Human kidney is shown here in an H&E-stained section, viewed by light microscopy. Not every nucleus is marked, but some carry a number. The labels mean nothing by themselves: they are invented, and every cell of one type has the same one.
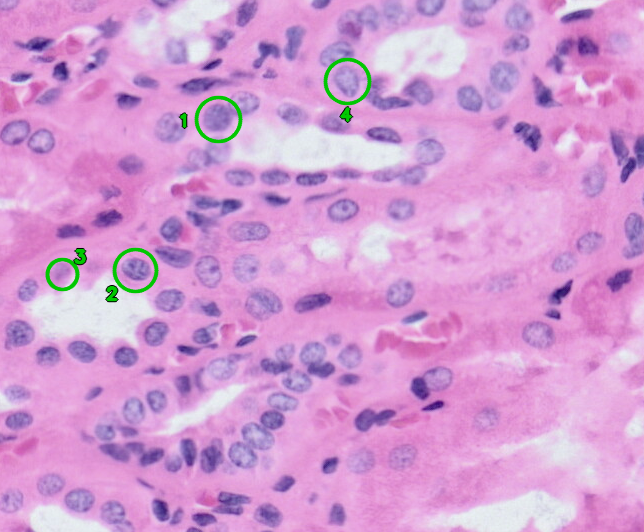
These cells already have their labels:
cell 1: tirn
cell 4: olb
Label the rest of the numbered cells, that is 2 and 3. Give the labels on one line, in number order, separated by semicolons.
tirn; tirn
